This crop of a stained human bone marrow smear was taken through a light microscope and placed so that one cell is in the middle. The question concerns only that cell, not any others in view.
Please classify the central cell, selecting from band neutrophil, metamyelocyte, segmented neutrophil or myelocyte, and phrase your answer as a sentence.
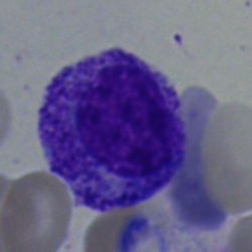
In this crop, the cell at the very middle is a myelocyte.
